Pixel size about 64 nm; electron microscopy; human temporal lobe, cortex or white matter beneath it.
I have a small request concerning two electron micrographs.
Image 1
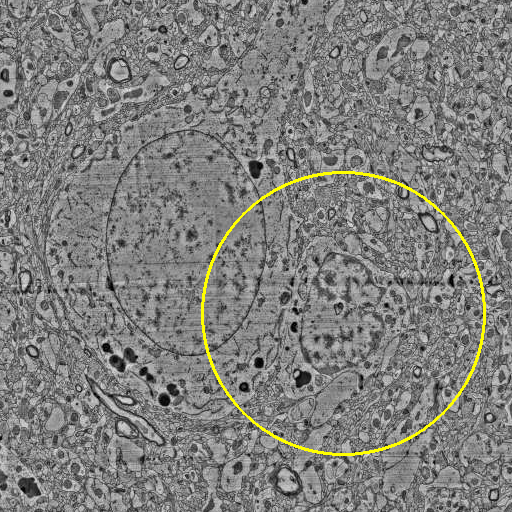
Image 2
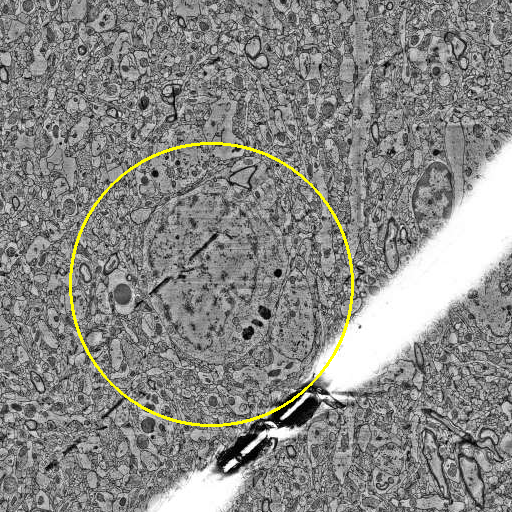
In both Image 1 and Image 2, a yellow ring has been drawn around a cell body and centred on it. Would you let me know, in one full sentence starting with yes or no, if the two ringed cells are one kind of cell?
Yes, the cells ringed in Image 1 and Image 2 are one kind of cell.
